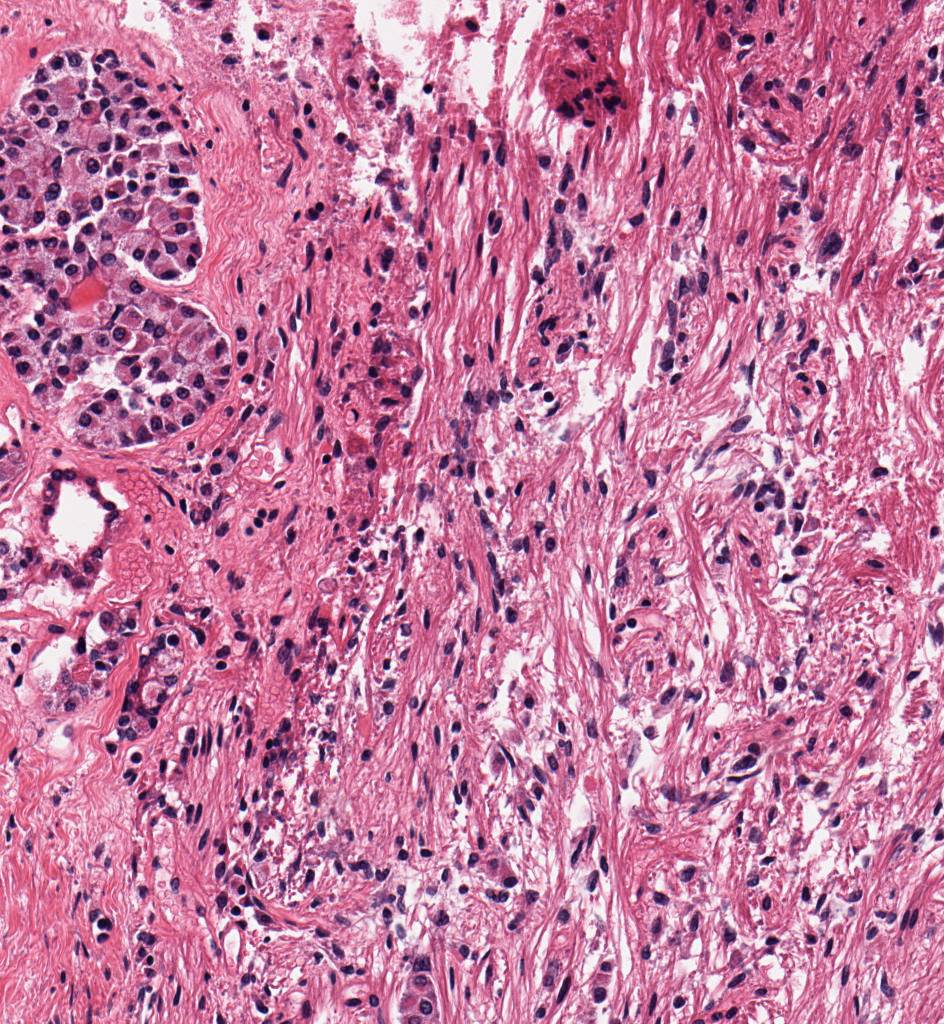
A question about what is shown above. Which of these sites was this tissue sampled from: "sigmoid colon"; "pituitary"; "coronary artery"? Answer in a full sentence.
The site this tissue was sampled from is the pituitary.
